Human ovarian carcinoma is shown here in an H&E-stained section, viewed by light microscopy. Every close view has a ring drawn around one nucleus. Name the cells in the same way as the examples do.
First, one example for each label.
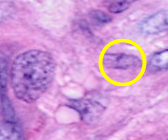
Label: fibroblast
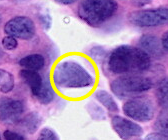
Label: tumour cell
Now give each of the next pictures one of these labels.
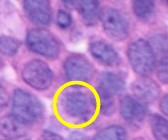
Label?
tumour cell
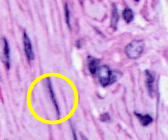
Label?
fibroblast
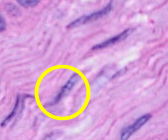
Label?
fibroblast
